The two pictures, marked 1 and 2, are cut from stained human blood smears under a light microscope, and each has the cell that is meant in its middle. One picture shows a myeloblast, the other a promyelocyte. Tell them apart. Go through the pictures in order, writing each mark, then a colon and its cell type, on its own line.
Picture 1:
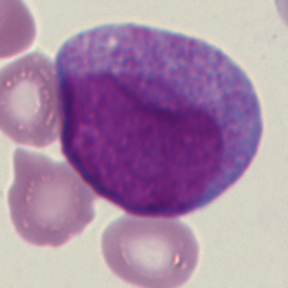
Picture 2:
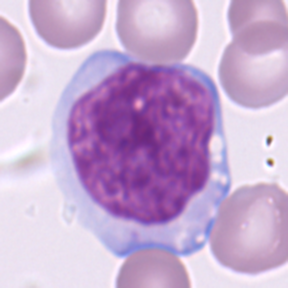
1: promyelocyte
2: myeloblast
